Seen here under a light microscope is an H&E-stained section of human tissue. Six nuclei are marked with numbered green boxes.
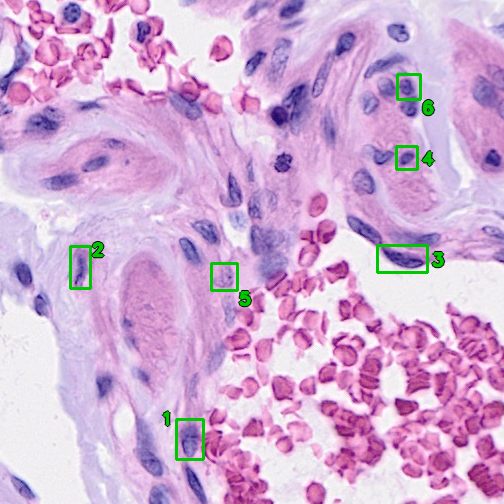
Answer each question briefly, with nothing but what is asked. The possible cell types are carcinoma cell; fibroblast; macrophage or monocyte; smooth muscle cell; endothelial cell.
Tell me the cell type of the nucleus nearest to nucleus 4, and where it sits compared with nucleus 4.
a smooth muscle cell to the left of nucleus 4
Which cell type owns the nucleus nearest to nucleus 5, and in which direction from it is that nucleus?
an endothelial cell below nucleus 5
